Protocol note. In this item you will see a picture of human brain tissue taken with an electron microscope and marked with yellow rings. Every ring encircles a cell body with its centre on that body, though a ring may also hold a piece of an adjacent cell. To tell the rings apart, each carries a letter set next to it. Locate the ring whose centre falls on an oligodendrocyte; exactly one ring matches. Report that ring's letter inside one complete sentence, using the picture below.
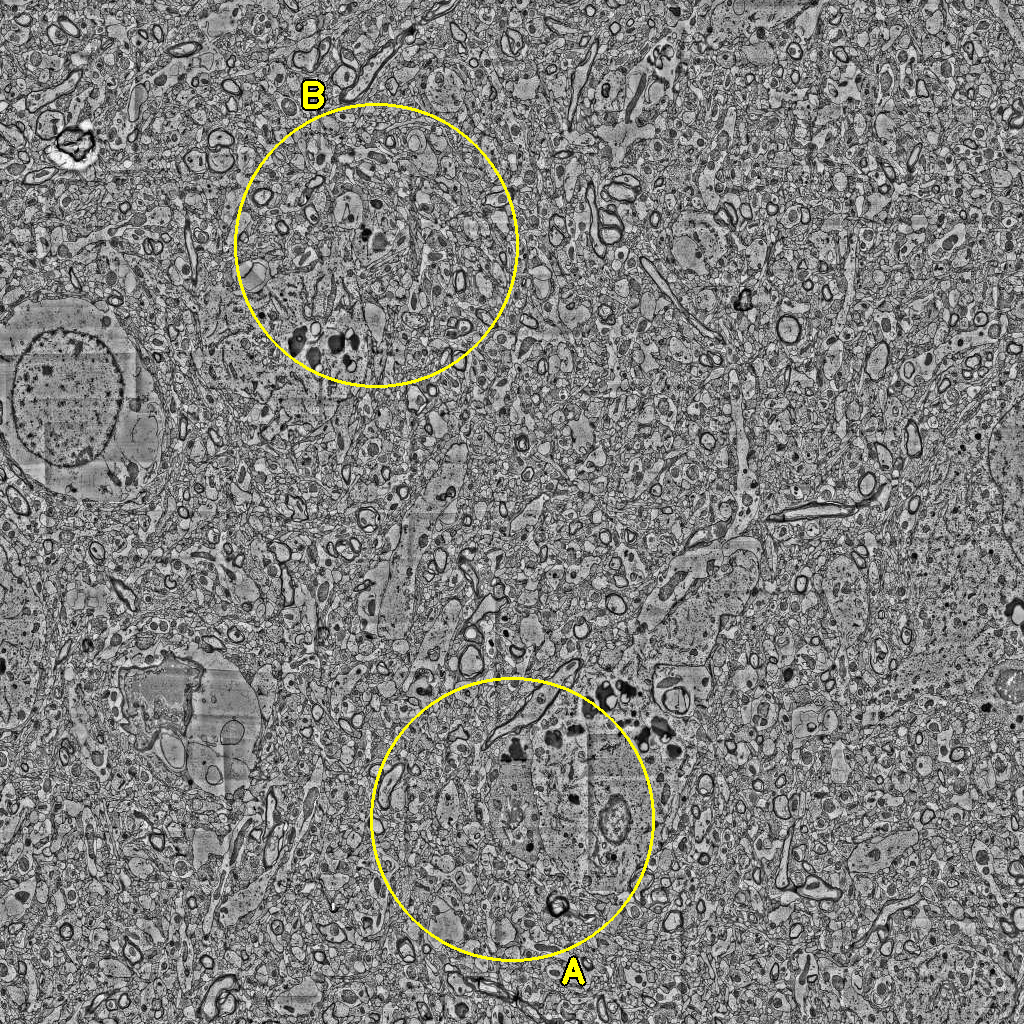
My answer is A, the ring whose centre falls on that kind of cell.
